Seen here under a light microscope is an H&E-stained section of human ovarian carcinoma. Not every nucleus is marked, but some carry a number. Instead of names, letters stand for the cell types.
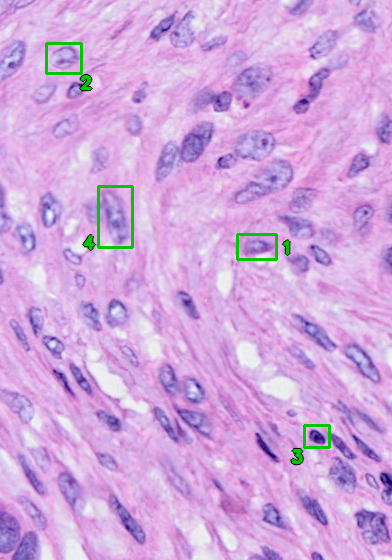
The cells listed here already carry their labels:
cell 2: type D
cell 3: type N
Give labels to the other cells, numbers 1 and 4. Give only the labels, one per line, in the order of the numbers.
type D
type D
